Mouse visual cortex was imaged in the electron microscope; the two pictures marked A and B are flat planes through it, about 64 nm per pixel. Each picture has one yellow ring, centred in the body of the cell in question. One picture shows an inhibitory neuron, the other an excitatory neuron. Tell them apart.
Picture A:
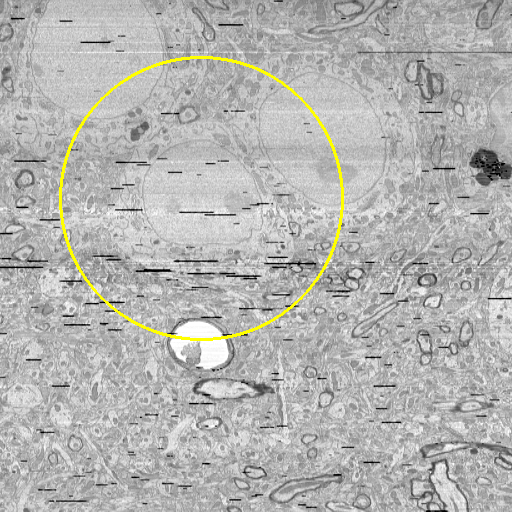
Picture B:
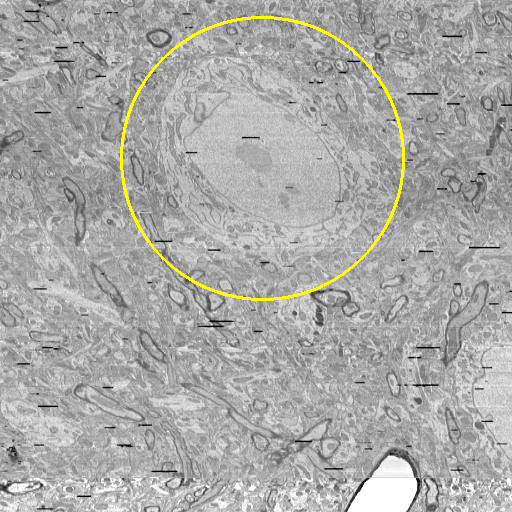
Picture A is of an excitatory neuron, and picture B is of an inhibitory neuron.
